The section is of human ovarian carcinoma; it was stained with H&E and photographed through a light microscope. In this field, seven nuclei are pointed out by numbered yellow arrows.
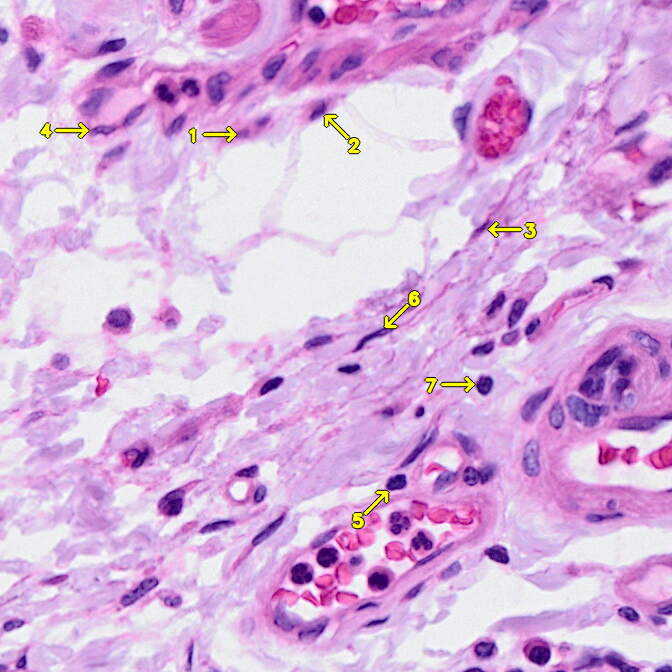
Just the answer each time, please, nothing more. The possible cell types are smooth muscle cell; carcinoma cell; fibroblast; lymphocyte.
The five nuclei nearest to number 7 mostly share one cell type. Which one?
fibroblast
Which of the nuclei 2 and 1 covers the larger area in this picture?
2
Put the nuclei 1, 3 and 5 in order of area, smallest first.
1, 3, 5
